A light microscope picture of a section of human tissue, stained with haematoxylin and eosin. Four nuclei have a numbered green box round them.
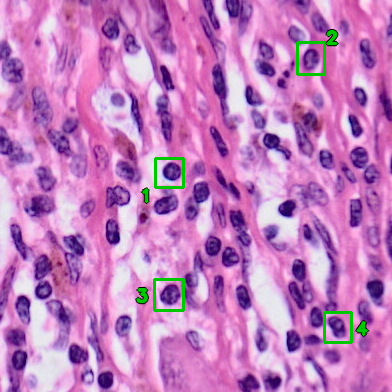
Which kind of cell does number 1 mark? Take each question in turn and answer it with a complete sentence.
Heads up, the cell numbered 1 is a lymphocyte.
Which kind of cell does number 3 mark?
The cell to which the number 3 is assigned is a lymphocyte.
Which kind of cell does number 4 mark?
In this section, the cell tagged 4 is a lymphocyte.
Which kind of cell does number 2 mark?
It is as a plasma cell that the cell numbered 2 is identified.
